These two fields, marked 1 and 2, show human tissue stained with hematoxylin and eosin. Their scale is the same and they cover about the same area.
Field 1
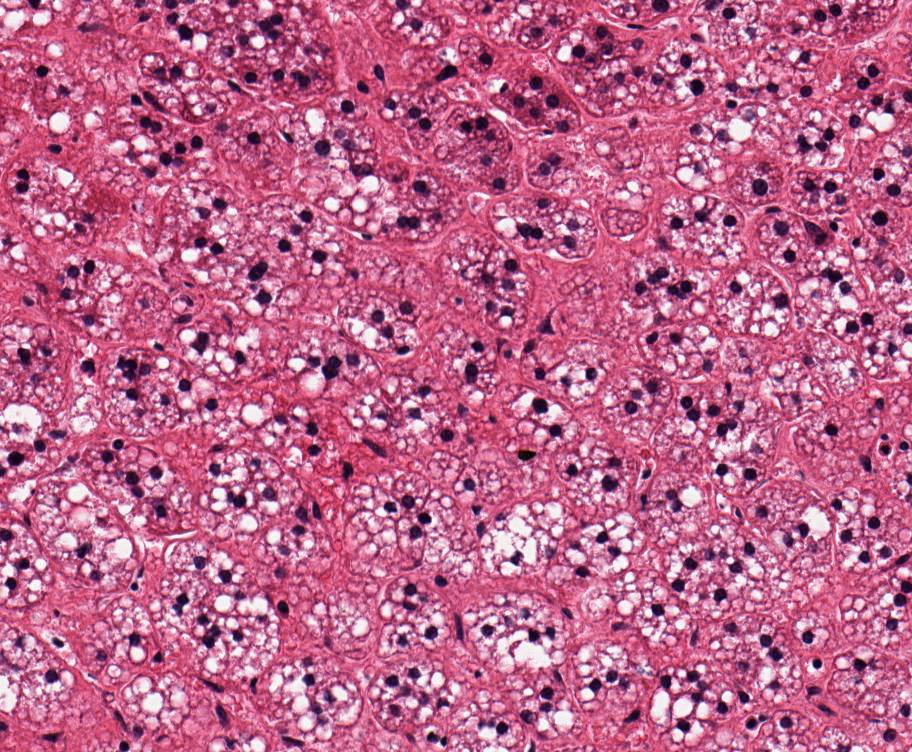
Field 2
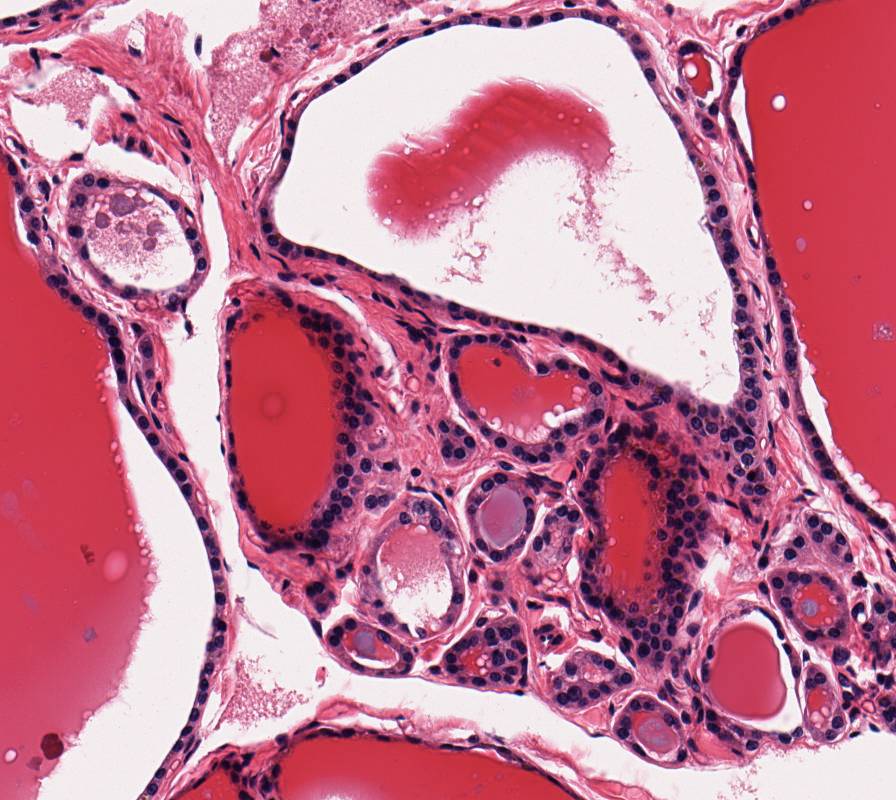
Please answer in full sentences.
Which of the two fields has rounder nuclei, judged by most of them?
On the whole the nuclei of field 1 are rounder than those of field 2.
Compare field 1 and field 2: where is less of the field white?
It is field 1 that stained tissue fills more completely.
